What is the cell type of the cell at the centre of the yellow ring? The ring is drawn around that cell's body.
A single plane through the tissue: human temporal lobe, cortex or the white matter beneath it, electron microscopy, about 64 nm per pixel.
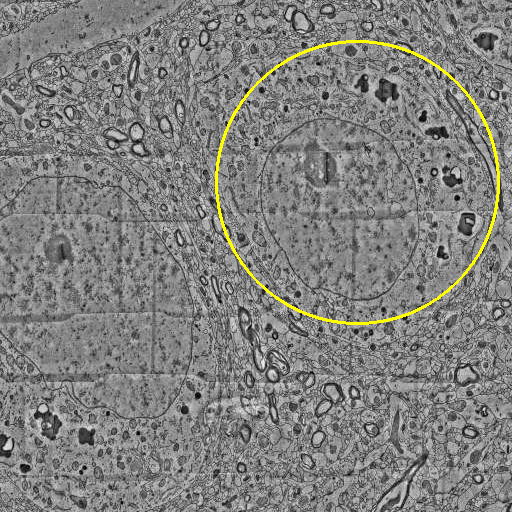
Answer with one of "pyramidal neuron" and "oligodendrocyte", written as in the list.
pyramidal neuron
